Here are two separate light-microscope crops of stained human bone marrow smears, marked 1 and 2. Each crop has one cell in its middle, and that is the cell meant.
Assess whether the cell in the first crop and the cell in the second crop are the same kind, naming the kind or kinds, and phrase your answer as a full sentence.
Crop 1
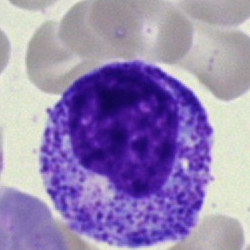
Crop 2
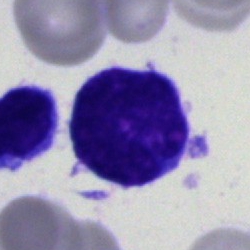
No, a promyelocyte lies at the centre of crop 1, and a blast lies at the centre of crop 2.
